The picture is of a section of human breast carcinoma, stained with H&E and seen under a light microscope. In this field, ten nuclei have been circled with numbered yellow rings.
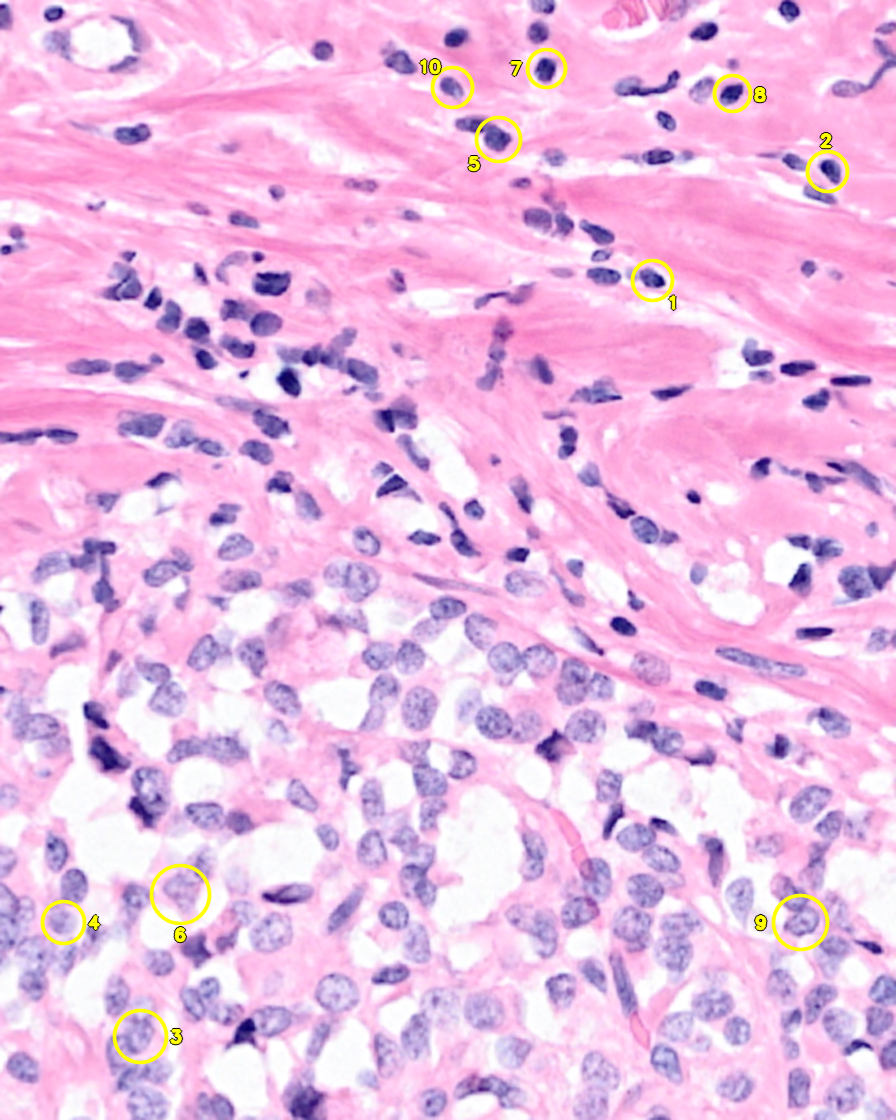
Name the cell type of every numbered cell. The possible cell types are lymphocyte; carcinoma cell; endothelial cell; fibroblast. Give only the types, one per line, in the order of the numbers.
lymphocyte
lymphocyte
carcinoma cell
carcinoma cell
lymphocyte
carcinoma cell
lymphocyte
lymphocyte
carcinoma cell
lymphocyte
